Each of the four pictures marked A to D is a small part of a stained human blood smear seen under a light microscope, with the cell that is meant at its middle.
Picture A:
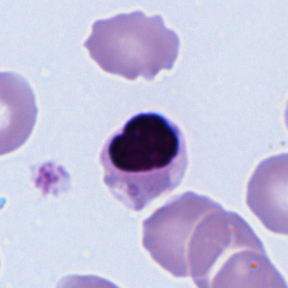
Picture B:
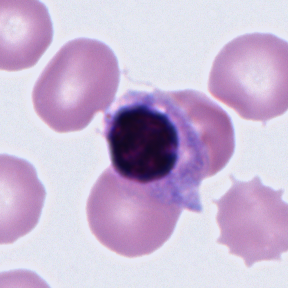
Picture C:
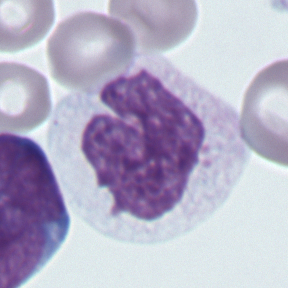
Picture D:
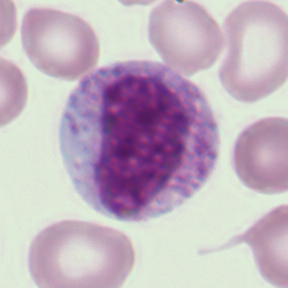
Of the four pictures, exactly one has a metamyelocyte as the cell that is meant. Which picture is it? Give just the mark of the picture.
D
